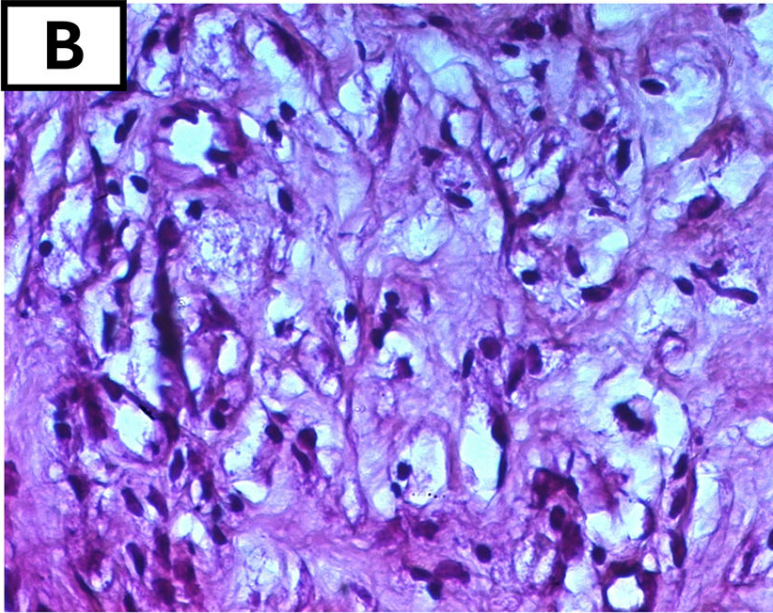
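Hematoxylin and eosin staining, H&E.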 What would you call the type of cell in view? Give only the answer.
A: Lipid-laden histiocytes.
